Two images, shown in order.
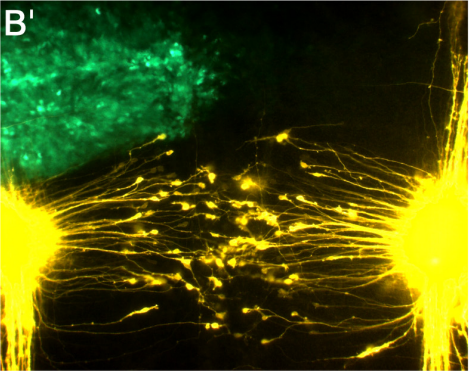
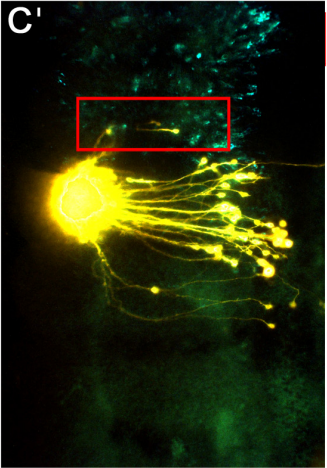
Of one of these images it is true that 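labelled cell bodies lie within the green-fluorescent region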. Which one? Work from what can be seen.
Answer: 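The second image. Second image: a few yellow cell bodies with axons lie inside the green-fluorescent area in the boxed region. First image: the green-fluorescent patch in the upper left contains no yellow cell bodies.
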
